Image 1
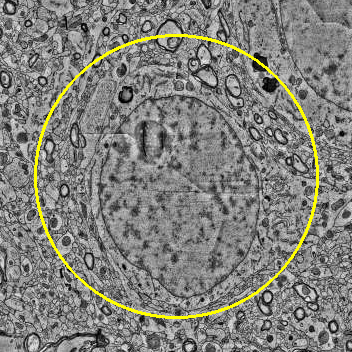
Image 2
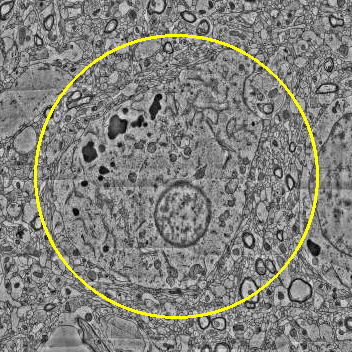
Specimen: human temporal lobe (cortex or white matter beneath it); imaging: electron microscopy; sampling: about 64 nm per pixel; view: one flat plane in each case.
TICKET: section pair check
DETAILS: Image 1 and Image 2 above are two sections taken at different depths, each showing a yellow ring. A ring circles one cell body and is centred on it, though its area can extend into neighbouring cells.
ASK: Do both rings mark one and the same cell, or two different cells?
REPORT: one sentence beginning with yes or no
No, marked by the two rings are two different cells.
